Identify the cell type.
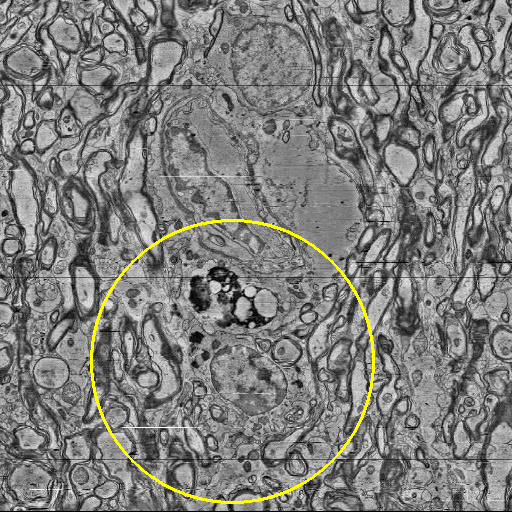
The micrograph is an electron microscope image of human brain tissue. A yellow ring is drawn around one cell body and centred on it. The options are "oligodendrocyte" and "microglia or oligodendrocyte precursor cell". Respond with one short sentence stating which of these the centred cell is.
The cell body in the ring belongs to a microglial cell or oligodendrocyte precursor cell.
